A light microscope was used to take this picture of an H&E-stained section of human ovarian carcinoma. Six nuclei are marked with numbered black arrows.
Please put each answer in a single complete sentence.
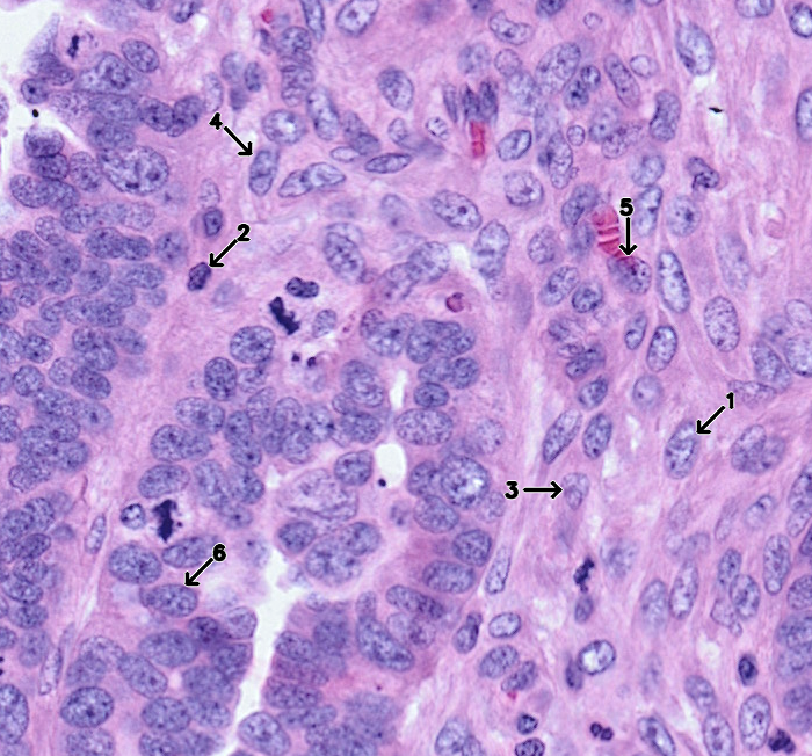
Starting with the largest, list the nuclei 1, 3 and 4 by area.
Largest first, the order by area is 1, 4, 3.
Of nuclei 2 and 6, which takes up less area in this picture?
Number 2 is smaller, since number 6 takes up about 2.5 times as much area.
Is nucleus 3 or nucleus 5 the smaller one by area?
The smaller nucleus is 3, and 5 covers roughly 1.5 times its area.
